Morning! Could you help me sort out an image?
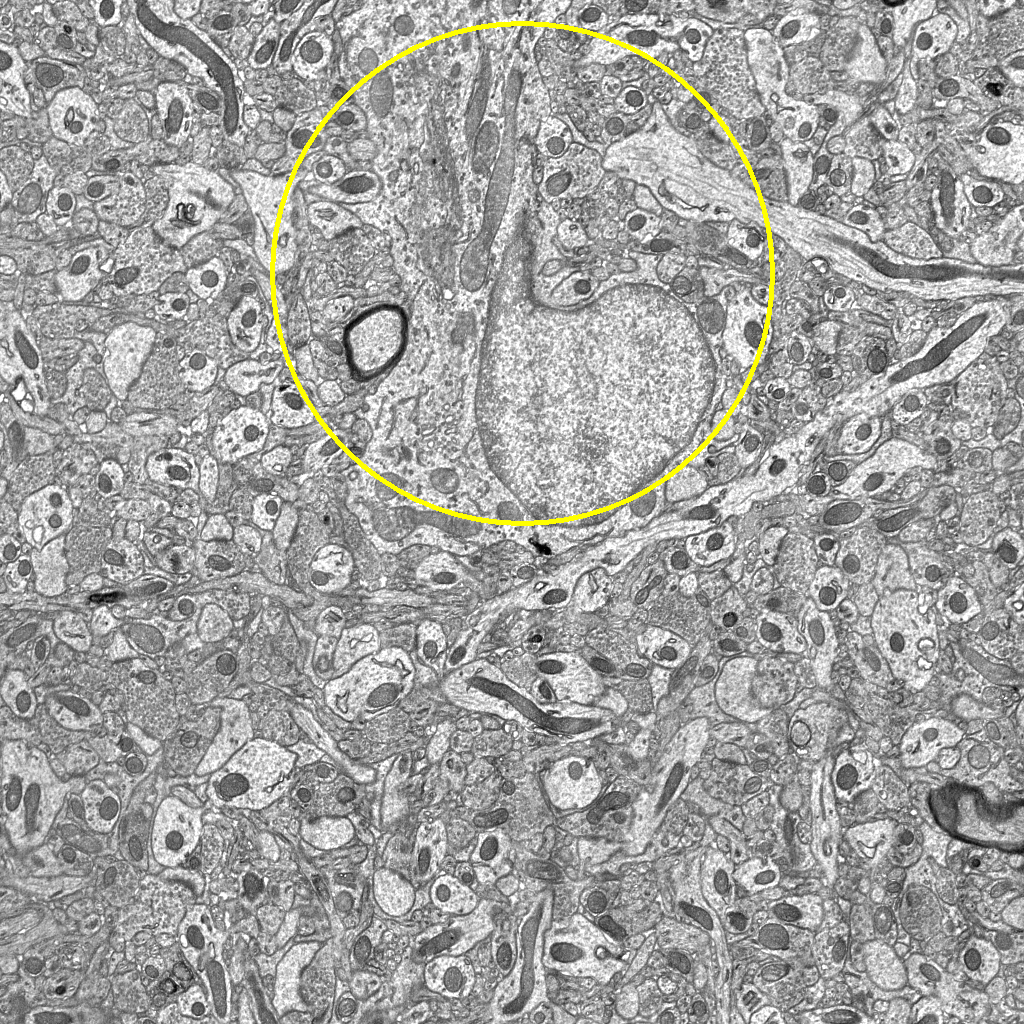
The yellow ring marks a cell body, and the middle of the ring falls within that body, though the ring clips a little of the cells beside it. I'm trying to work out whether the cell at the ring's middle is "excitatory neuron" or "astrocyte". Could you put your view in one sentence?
The cell body at the ring's middle is that of an astrocyte.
